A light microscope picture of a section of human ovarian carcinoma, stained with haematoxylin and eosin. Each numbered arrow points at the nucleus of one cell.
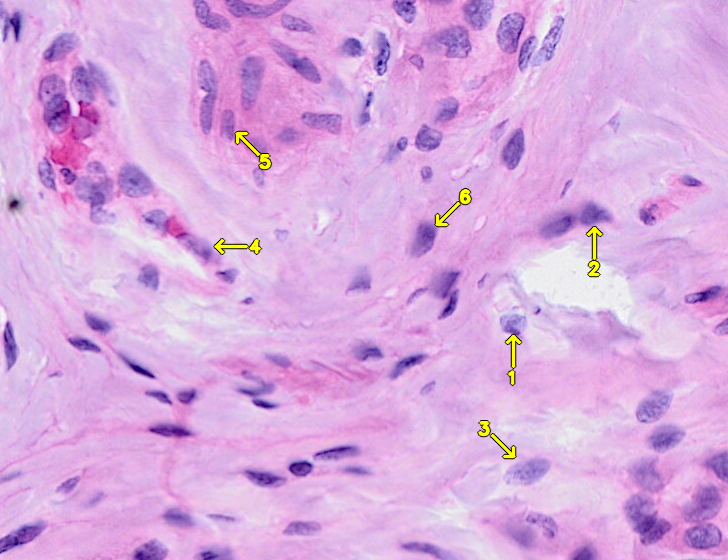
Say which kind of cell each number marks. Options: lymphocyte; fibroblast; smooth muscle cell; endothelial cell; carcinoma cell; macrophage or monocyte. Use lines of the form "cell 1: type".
cell 1: fibroblast
cell 2: fibroblast
cell 3: fibroblast
cell 4: endothelial cell
cell 5: smooth muscle cell
cell 6: fibroblast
